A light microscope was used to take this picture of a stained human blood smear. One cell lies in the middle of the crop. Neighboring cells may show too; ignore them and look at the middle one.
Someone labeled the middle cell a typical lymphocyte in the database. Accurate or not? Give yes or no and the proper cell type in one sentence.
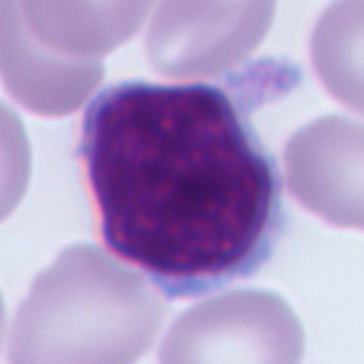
Yes, the crop's central cell is a typical lymphocyte.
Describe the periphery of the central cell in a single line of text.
Seen at its edge, the cell is not smooth but ragged or projecting.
